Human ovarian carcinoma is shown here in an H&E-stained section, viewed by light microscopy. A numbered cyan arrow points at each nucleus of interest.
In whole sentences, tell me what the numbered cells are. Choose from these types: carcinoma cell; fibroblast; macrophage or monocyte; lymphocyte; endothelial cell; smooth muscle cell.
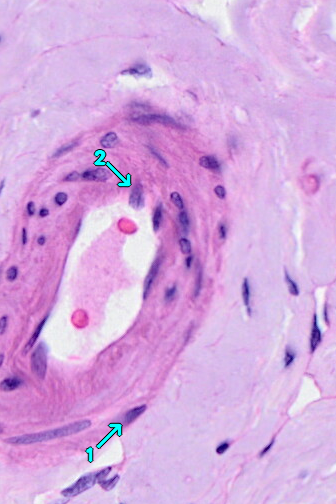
Cell 1 is a smooth muscle cell and cell 2 is an endothelial cell.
